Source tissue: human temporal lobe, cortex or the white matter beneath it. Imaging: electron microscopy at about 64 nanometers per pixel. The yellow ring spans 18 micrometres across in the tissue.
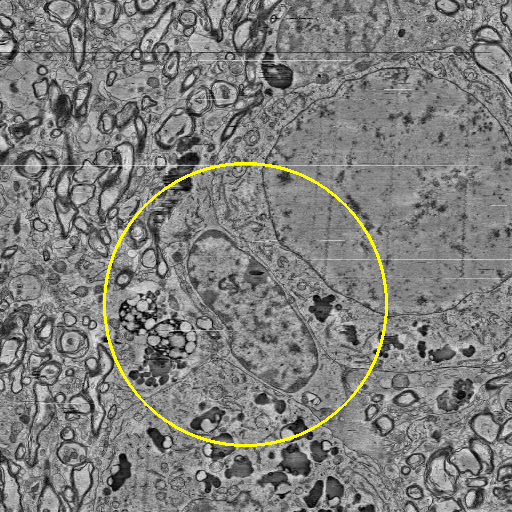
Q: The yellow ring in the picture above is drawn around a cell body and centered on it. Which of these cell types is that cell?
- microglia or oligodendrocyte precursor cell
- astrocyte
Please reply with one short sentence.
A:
The cell body at the ring's center belongs to a microglial cell or oligodendrocyte precursor cell.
